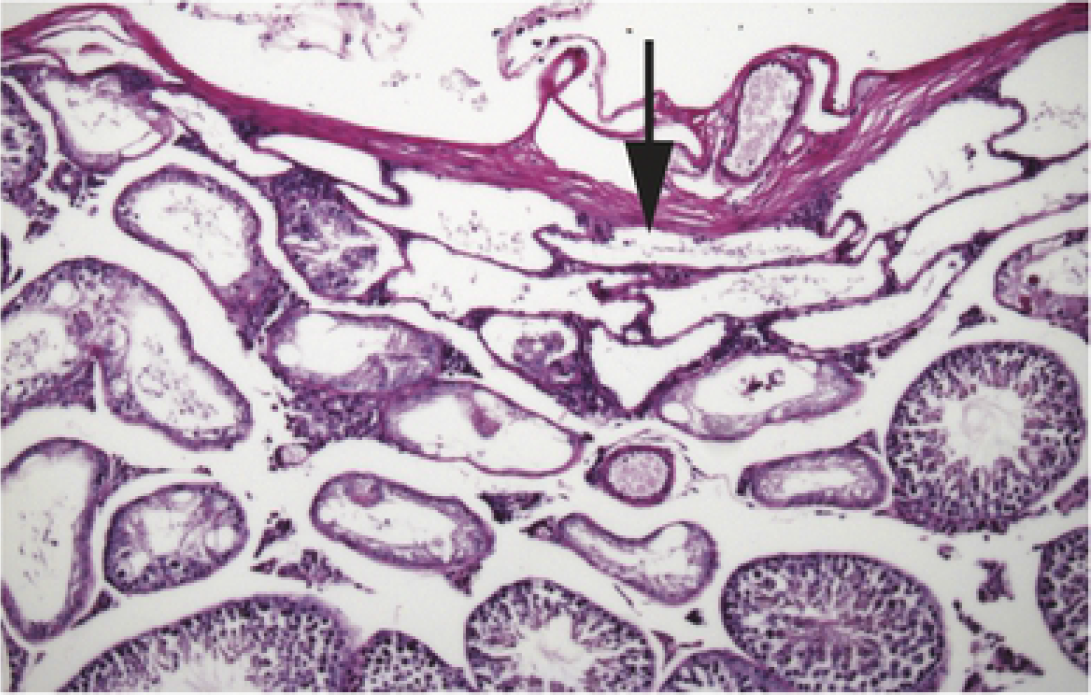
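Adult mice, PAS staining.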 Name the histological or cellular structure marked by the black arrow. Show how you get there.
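The arrow points to wide, irregular channels lined by a thin epithelium just under the pink capsule. Seminiferous tubules lie below these channels.
Conclusion: rete testis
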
